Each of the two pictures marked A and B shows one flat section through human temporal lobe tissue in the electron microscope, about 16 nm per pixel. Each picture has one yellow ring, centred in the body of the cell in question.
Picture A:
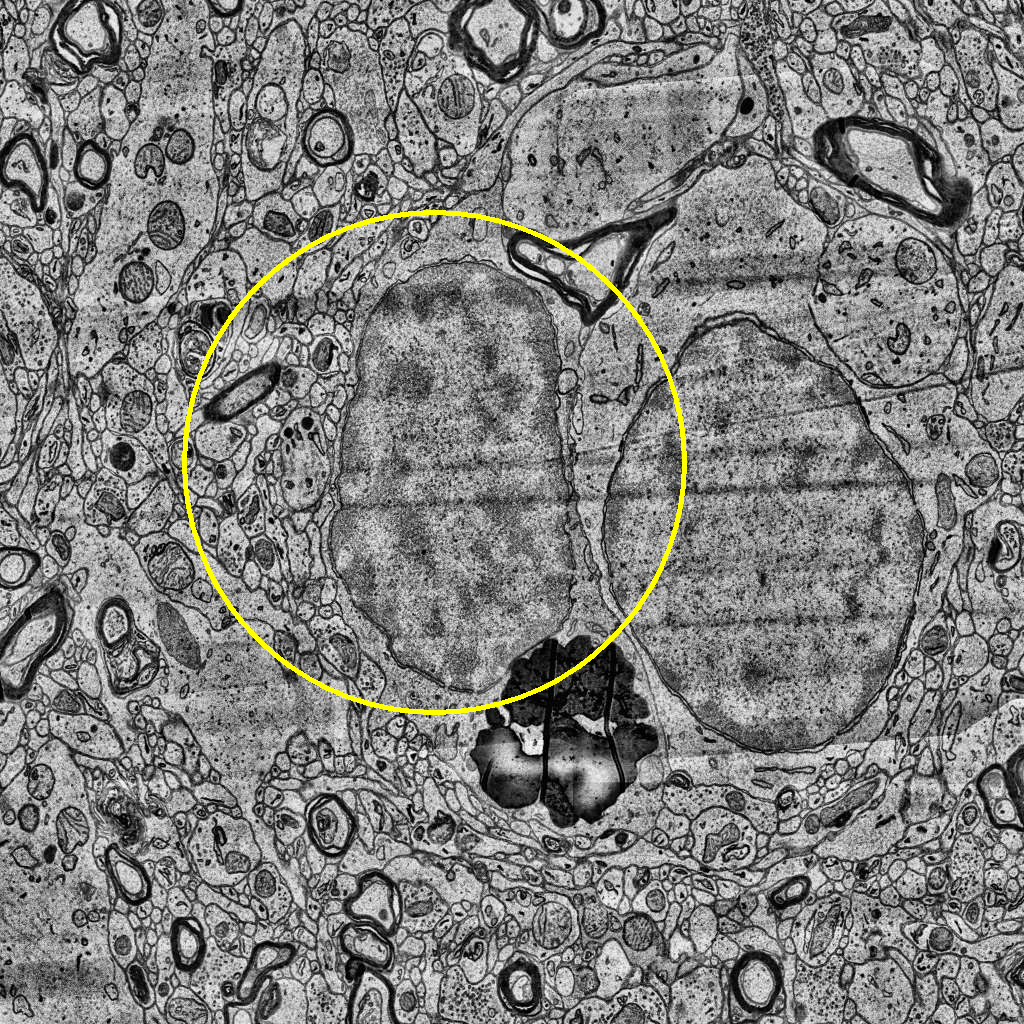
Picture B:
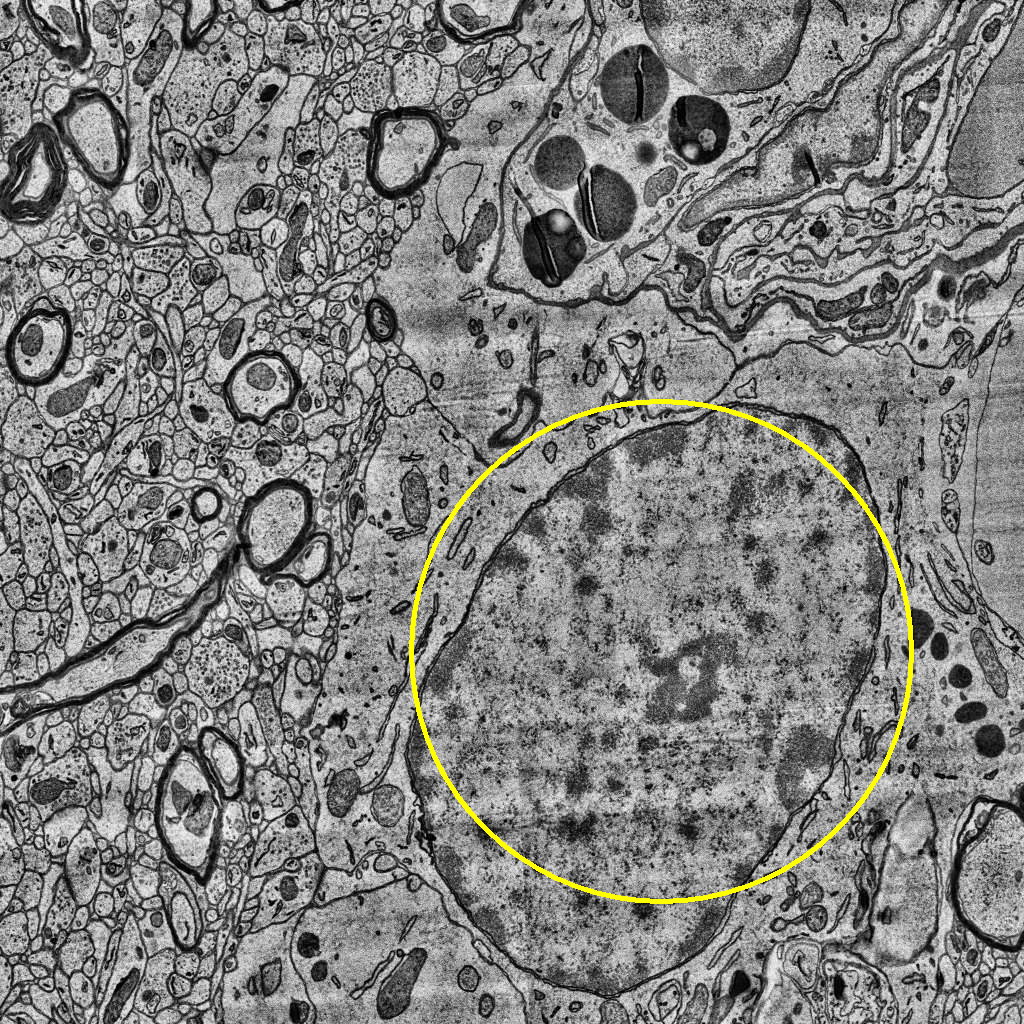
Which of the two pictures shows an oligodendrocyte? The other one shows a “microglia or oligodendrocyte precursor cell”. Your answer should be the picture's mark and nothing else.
A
